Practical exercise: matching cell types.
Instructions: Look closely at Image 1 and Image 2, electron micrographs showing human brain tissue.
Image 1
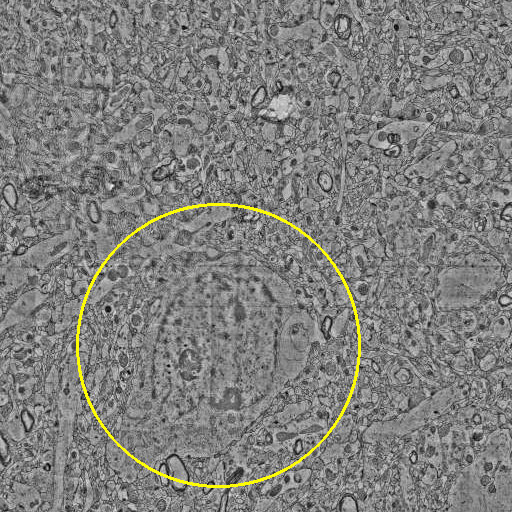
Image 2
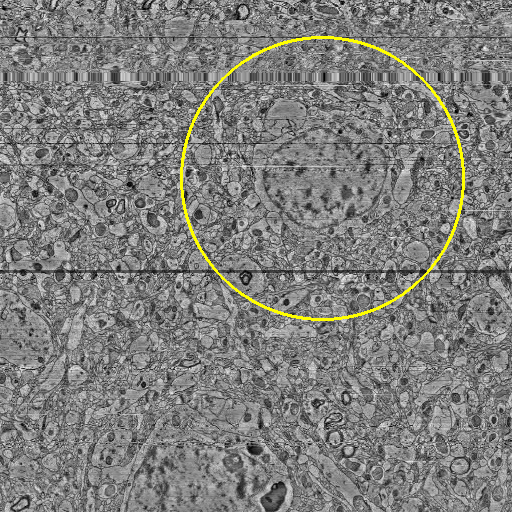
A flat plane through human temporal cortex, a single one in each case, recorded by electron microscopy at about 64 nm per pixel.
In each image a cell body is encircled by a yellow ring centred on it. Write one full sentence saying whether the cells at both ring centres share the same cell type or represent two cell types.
Across Image 1 and Image 2, the cells at the ring centres share the same cell type.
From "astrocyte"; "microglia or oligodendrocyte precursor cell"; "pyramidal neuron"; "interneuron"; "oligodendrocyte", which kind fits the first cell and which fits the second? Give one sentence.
Both rings mark an interneuron, one in each picture.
